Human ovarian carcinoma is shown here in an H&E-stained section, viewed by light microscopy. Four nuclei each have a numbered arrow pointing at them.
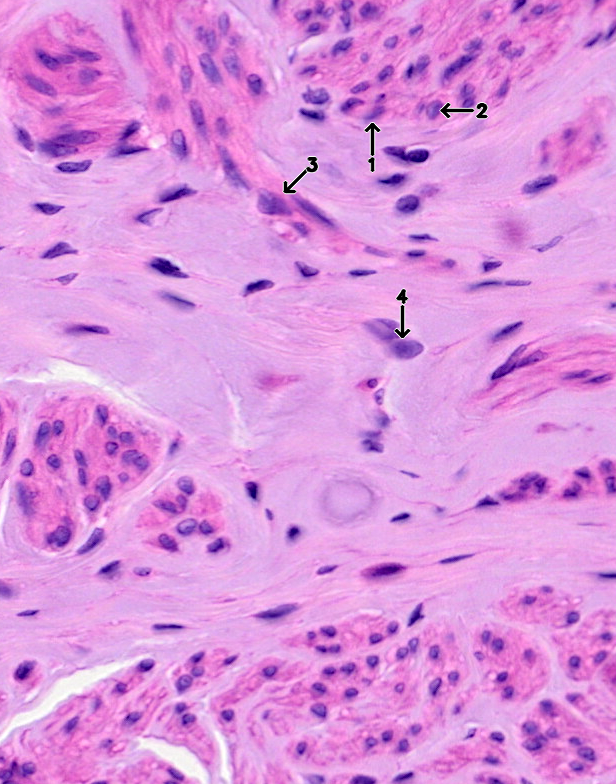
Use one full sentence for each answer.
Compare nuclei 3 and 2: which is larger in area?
Nucleus 3 is larger, with an area about 4 times that of nucleus 2.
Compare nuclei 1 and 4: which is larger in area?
It is nucleus 4, which covers about 4 times the area of nucleus 1.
